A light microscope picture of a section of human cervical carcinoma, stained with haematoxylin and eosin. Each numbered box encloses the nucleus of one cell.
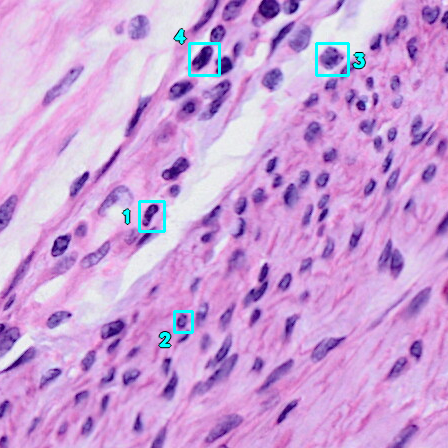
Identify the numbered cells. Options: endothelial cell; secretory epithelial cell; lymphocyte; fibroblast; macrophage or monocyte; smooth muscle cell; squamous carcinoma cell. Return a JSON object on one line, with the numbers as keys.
{"1": "lymphocyte", "2": "smooth muscle cell", "3": "lymphocyte", "4": "lymphocyte"}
